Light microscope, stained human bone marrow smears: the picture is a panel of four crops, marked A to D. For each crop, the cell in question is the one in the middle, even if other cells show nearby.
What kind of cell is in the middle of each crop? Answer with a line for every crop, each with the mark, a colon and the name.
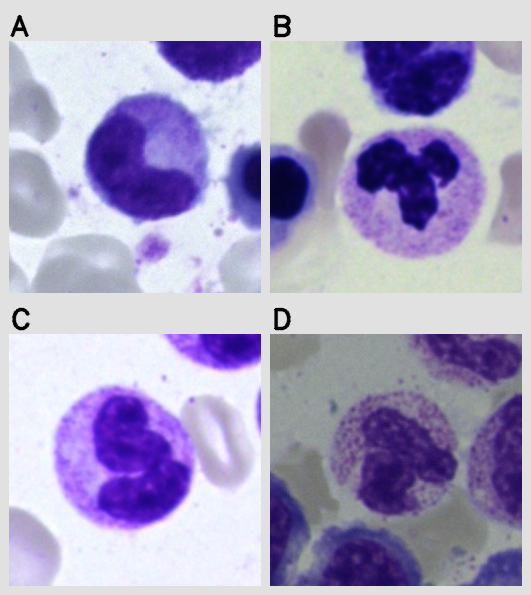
A: band neutrophil
B: segmented neutrophil
C: segmented neutrophil
D: segmented neutrophil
